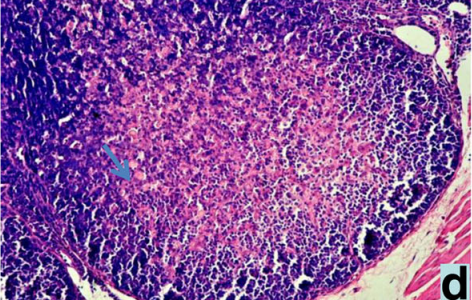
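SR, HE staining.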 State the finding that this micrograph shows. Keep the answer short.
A: Lymphocyte depeletion and necrosis.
